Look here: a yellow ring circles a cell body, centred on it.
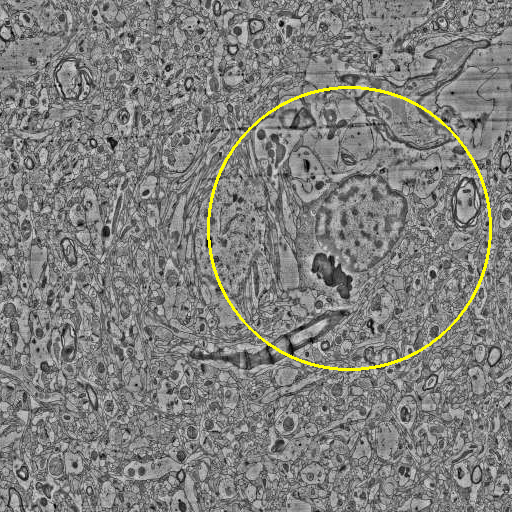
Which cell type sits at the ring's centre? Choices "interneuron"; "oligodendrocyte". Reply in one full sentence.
The cell at the centre of the yellow ring in the picture is an oligodendrocyte.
